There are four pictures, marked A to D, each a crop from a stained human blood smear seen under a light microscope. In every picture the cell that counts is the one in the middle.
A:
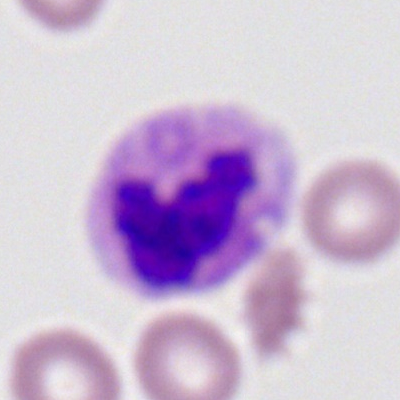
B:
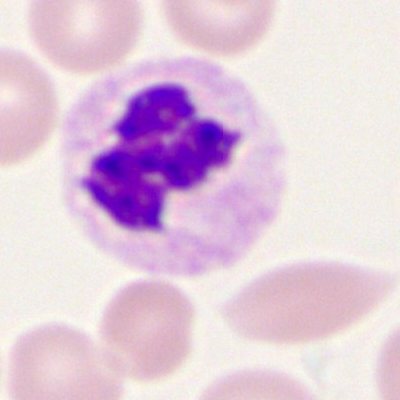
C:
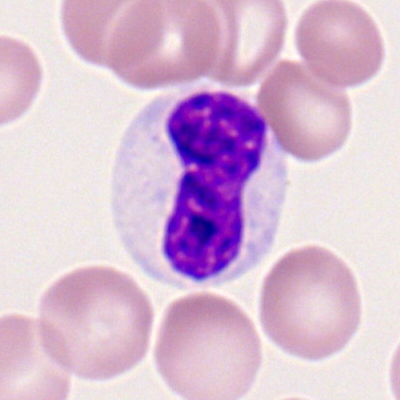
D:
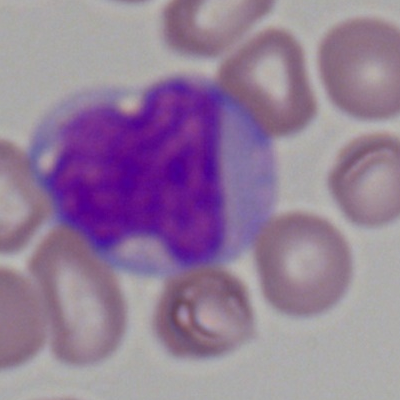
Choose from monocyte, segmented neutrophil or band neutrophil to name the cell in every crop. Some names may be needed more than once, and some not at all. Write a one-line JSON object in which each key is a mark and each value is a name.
{"A": "segmented neutrophil", "B": "segmented neutrophil", "C": "band neutrophil", "D": "monocyte"}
